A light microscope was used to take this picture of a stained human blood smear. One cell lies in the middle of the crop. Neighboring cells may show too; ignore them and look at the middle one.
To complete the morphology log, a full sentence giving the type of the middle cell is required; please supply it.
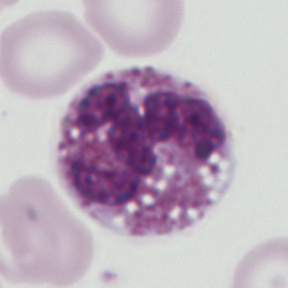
The crop centres on a single cell, and that cell is an eosinophil.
